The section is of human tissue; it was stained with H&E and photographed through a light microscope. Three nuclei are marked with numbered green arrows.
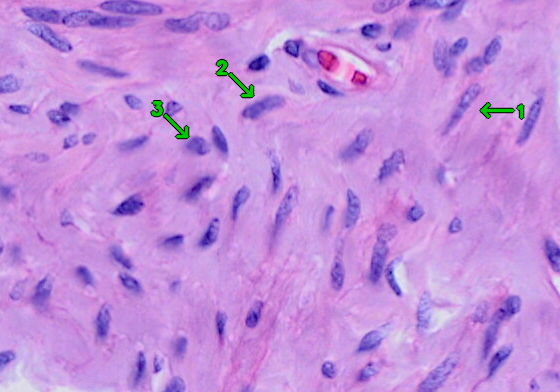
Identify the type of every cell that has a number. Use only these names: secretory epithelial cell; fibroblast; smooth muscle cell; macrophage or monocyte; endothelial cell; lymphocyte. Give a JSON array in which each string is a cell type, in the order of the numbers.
["smooth muscle cell", "fibroblast", "fibroblast"]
